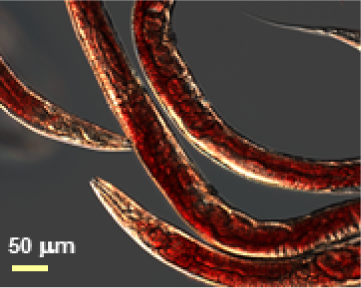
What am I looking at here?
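Red staining fills most of each body along its length, in a granular pattern within the internal tissues. The body edges with the cuticle appear pale and translucent. Toward the tapered head end the staining is weaker. The worms lie curved and overlapping across the field.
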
